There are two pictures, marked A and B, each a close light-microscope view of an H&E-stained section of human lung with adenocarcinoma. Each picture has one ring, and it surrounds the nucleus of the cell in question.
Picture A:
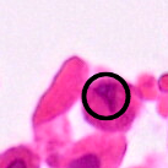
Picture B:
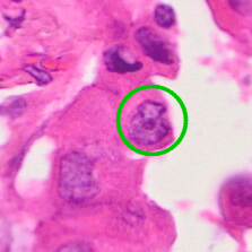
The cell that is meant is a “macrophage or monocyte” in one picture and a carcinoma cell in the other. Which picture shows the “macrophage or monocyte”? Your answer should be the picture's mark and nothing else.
A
